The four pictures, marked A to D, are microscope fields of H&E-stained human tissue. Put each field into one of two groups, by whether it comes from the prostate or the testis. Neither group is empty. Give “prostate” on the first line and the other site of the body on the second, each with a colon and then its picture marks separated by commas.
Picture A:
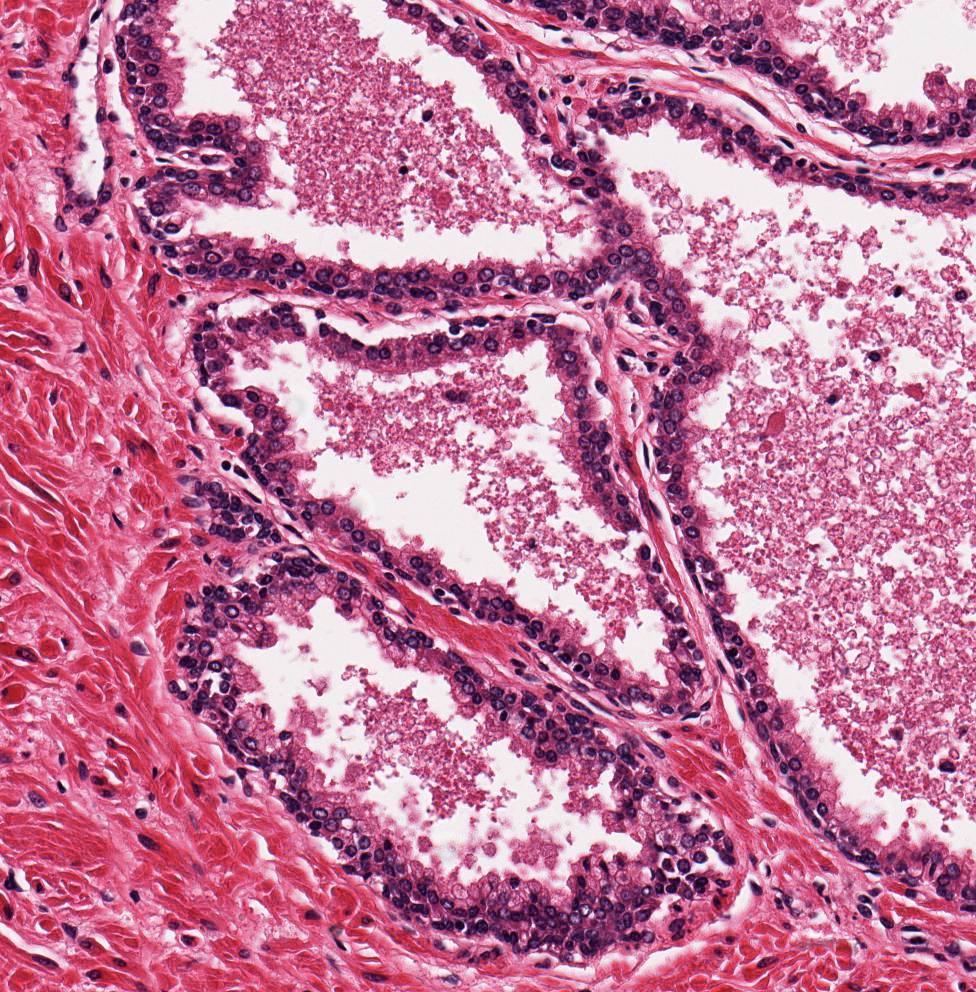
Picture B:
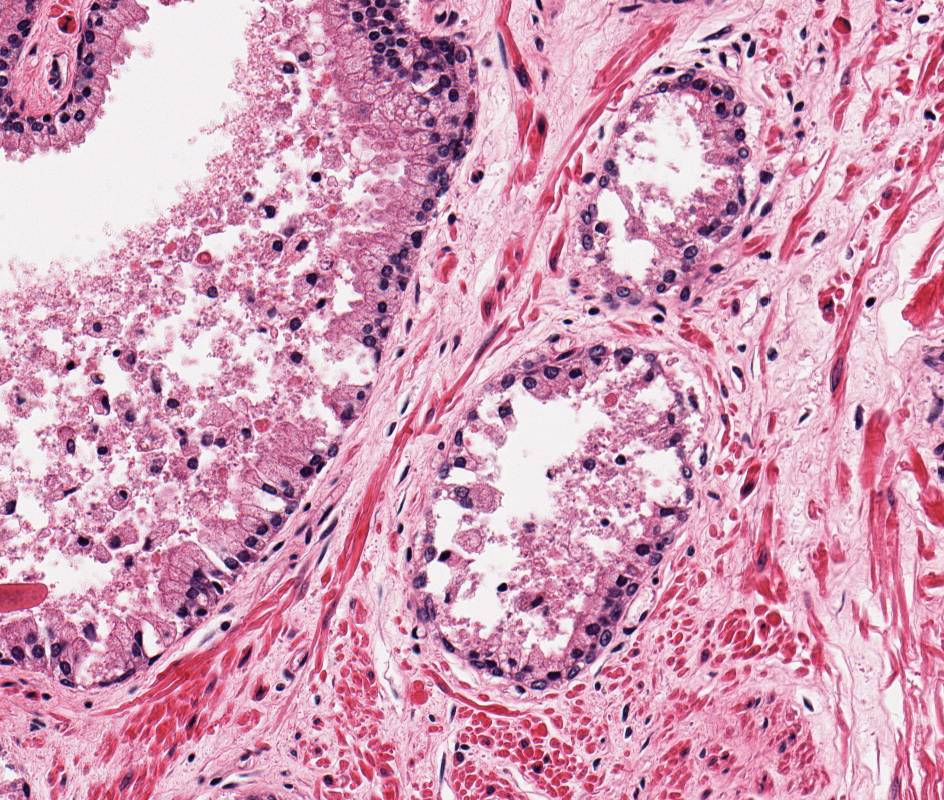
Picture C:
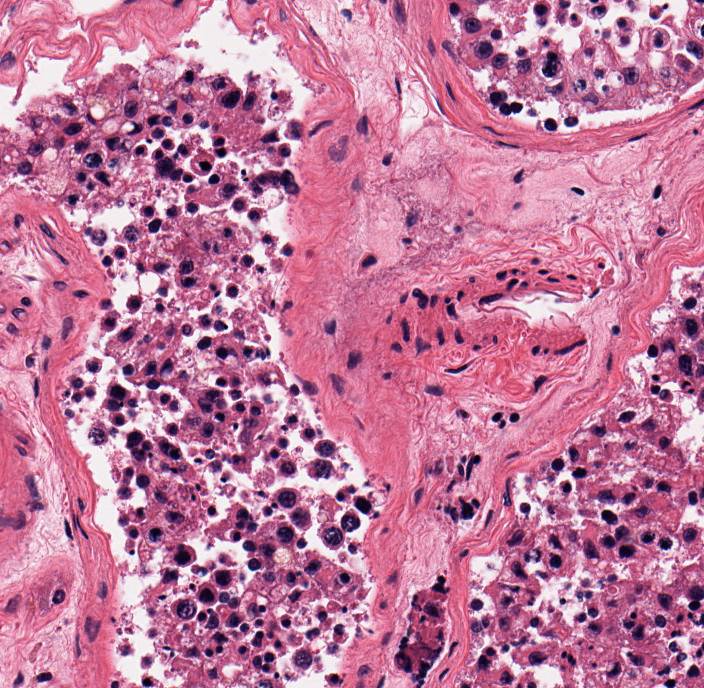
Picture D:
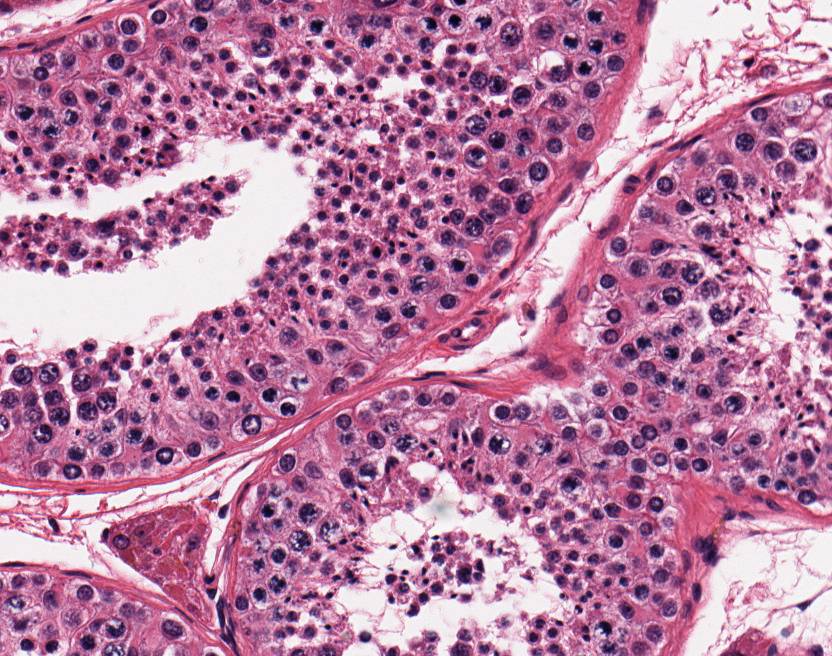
prostate: A, B
testis: C, D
